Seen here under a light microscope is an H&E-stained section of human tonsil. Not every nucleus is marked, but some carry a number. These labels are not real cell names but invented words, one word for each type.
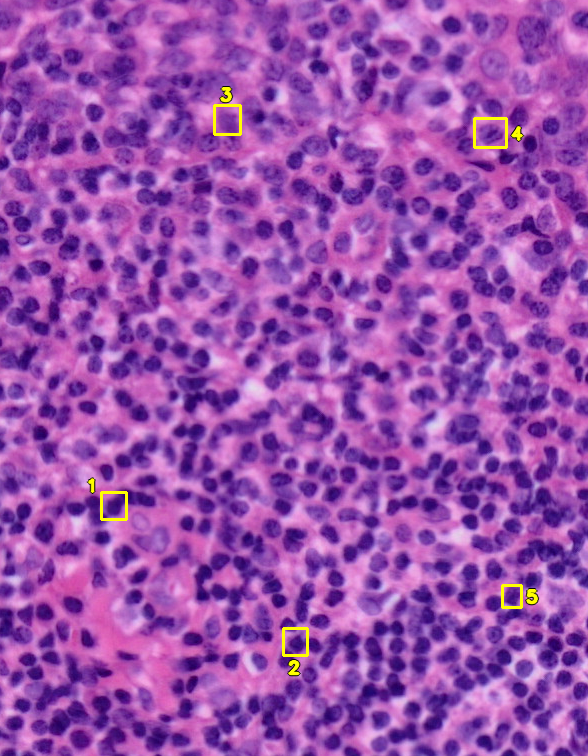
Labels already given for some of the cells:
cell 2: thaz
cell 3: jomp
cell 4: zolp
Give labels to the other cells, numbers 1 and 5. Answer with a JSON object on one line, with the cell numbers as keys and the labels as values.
{"1": "thaz", "5": "thaz"}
